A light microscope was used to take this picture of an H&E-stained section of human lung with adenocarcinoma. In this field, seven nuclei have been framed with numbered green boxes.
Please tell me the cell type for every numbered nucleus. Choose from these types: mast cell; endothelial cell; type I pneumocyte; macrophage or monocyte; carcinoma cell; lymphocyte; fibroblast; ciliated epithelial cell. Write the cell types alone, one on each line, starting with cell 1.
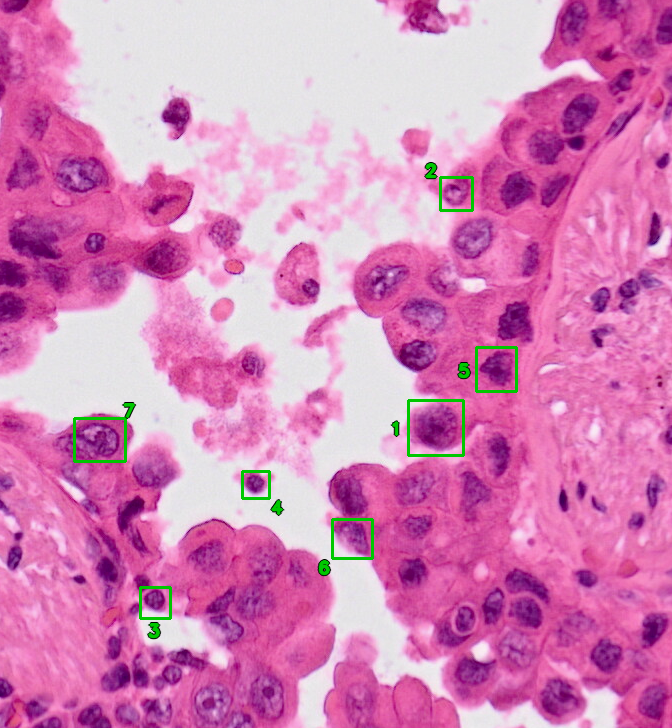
carcinoma cell
macrophage or monocyte
lymphocyte
lymphocyte
carcinoma cell
carcinoma cell
carcinoma cell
